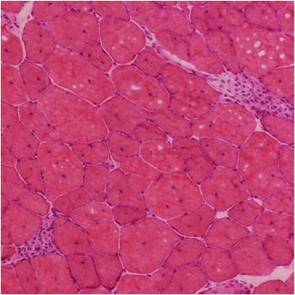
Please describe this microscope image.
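Skeletal muscle in cross-section, with tightly packed polygonal fibers stained pink and outlined by thin pale borders. Many fibers carry a dark purple nucleus placed in the middle of the fiber rather than pressed against its edge, and fiber size varies noticeably. Small clusters of densely packed dark nuclei sit in the spaces between fibers.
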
